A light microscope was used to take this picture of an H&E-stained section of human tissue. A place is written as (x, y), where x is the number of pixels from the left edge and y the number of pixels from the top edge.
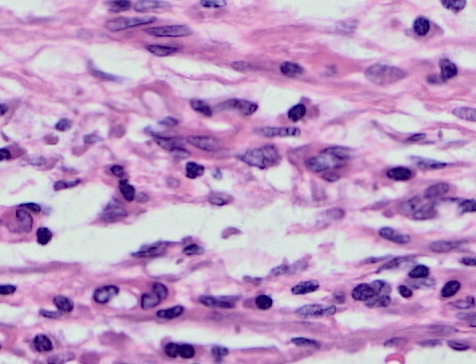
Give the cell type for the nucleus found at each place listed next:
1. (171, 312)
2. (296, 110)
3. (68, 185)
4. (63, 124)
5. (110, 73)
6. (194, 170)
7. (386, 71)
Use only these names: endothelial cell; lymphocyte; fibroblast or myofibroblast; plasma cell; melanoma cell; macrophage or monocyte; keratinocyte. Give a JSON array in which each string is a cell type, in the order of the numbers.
["plasma cell", "plasma cell", "fibroblast or myofibroblast", "plasma cell", "fibroblast or myofibroblast", "lymphocyte", "fibroblast or myofibroblast"]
